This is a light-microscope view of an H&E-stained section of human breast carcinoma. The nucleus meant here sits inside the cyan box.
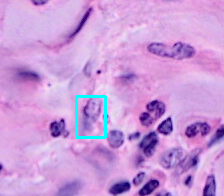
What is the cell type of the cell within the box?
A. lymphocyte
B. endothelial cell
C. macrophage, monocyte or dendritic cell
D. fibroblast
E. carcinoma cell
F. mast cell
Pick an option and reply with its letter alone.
C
